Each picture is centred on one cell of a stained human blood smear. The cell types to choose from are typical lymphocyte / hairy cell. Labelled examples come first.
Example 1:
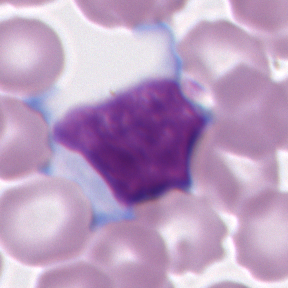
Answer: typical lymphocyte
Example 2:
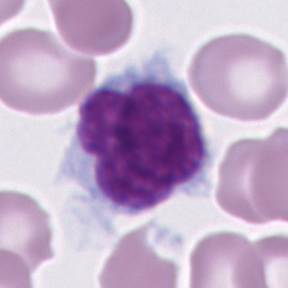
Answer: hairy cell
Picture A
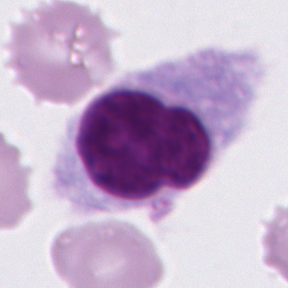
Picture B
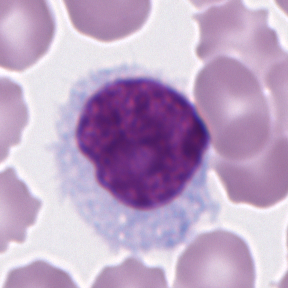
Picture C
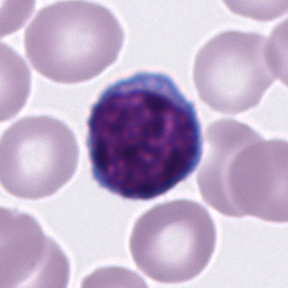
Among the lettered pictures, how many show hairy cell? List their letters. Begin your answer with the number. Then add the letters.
Count: 2 (A, B)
